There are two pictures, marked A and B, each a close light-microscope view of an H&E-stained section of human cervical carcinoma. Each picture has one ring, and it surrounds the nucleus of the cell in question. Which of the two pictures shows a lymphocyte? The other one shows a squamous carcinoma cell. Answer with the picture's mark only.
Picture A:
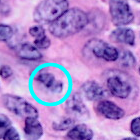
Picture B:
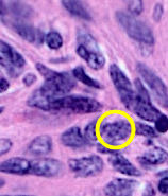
A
